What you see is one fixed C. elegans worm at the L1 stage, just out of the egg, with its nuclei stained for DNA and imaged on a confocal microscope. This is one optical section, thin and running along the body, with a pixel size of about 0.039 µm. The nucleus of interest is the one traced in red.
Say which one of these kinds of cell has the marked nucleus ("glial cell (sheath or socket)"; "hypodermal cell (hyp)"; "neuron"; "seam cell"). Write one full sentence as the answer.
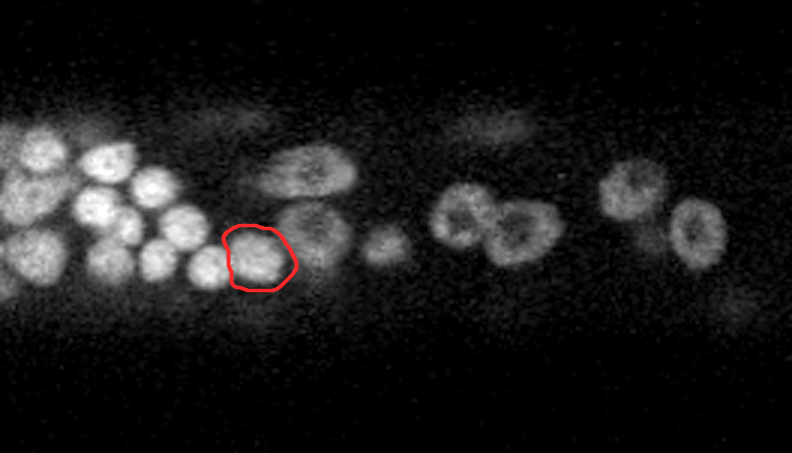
The nucleus comes from a neuron.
